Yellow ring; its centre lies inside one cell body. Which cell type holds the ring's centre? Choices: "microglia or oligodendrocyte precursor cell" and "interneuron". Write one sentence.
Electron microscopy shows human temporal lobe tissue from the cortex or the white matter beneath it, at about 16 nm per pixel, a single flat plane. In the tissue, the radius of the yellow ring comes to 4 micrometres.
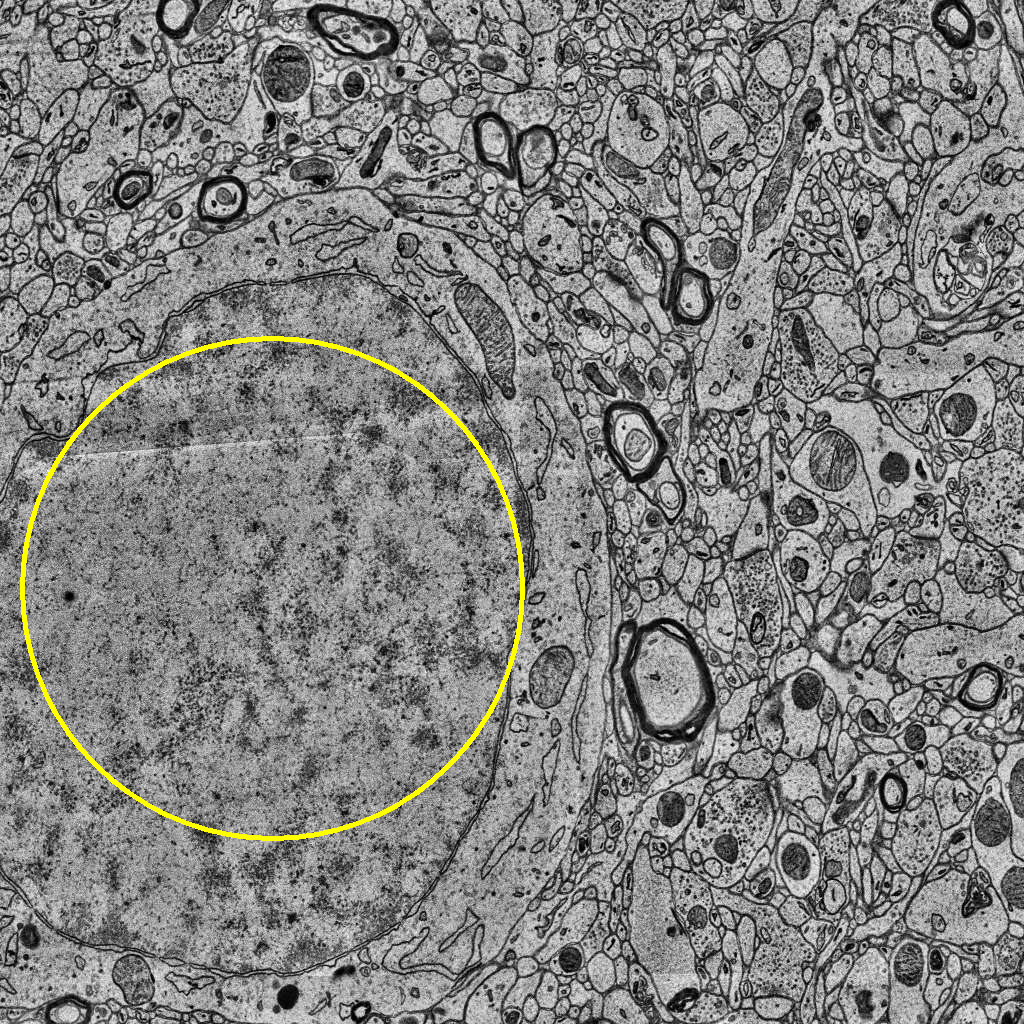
At the centre of the ring sits an interneuron.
